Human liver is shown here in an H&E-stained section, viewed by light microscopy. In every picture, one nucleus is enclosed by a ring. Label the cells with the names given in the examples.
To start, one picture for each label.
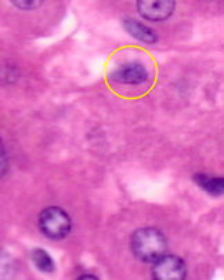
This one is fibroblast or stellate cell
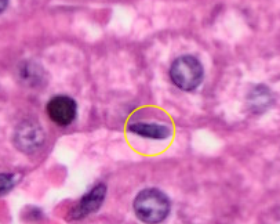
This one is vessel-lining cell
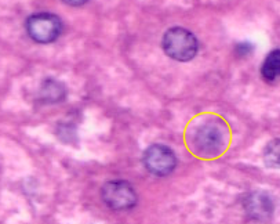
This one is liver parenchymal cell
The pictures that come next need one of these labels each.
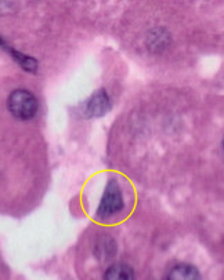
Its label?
fibroblast or stellate cell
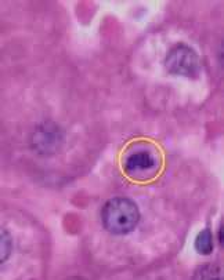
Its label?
fibroblast or stellate cell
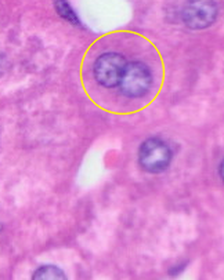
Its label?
liver parenchymal cell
